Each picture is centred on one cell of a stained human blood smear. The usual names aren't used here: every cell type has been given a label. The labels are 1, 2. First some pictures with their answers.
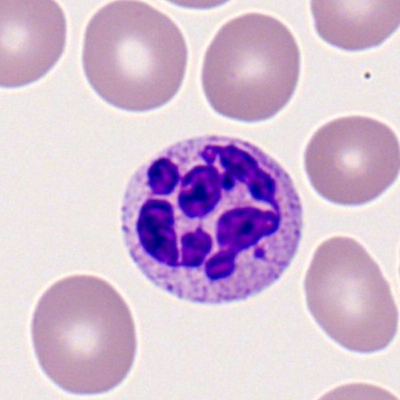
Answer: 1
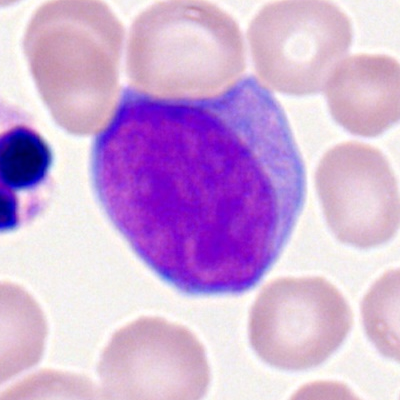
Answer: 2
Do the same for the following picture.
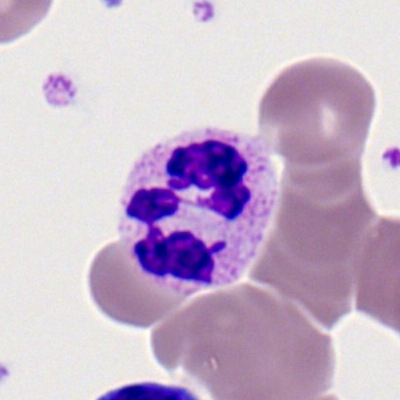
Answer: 1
